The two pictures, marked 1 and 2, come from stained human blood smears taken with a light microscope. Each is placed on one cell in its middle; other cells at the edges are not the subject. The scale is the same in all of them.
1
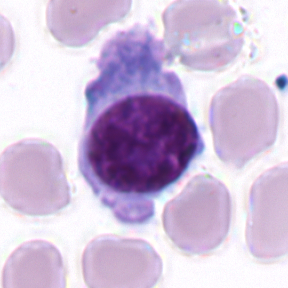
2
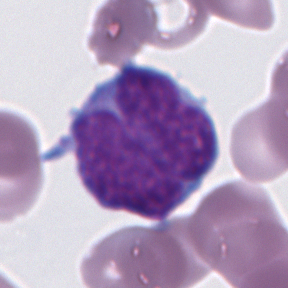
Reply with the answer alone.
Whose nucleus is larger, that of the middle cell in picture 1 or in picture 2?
2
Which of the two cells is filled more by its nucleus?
2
